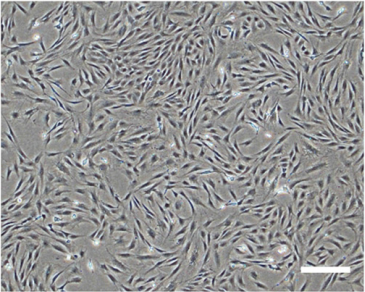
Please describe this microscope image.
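The field shows a dense, nearly confluent layer of adherent cells with homogeneous fibroblastic morphology. The cells are elongated and spindle-shaped, with slender tapering ends. Neighbouring cells run roughly parallel to one another in small streams and whorls. Only narrow gaps of bare surface remain between them. A few rounded, bright cells lie scattered on top of the layer.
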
